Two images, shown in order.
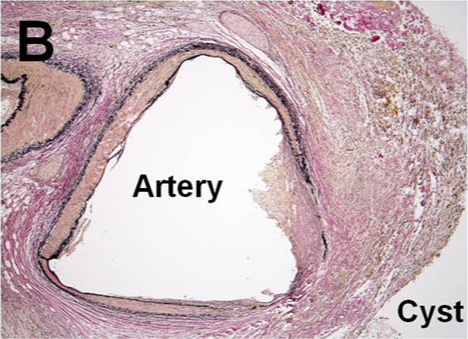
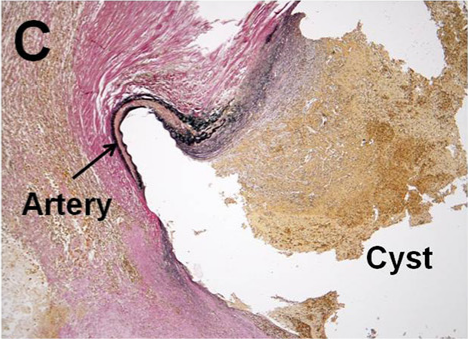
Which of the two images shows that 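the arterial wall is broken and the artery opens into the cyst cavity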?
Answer: The second image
